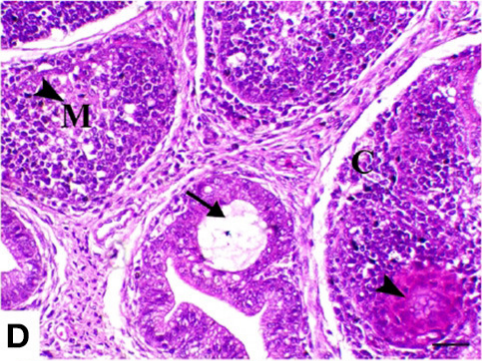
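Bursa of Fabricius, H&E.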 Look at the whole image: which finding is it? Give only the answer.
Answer: Interstitial fibrosis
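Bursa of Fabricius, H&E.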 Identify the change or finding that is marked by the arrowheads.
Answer: Medullary necrosis.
